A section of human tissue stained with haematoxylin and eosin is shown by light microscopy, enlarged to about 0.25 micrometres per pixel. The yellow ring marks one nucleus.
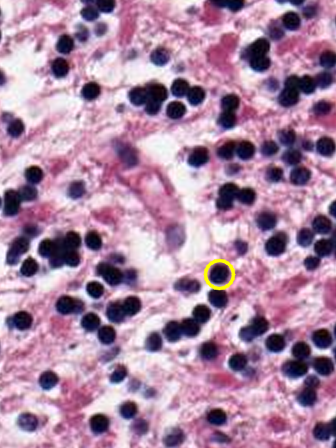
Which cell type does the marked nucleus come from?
cerebellar granule cell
